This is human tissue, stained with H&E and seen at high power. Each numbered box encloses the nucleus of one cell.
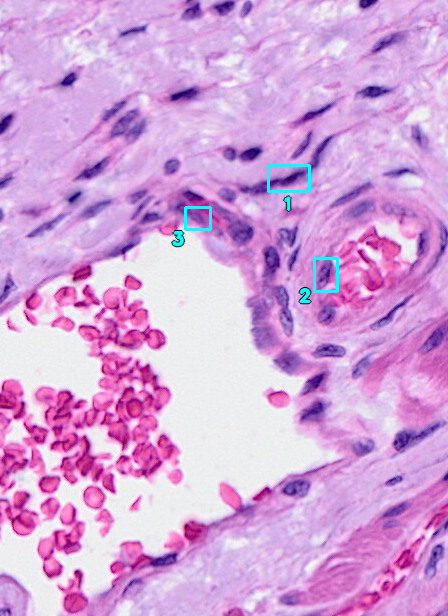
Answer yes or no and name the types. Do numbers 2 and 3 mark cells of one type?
Yes, of the numbered cells, 2 and 3 are both endothelial cells.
